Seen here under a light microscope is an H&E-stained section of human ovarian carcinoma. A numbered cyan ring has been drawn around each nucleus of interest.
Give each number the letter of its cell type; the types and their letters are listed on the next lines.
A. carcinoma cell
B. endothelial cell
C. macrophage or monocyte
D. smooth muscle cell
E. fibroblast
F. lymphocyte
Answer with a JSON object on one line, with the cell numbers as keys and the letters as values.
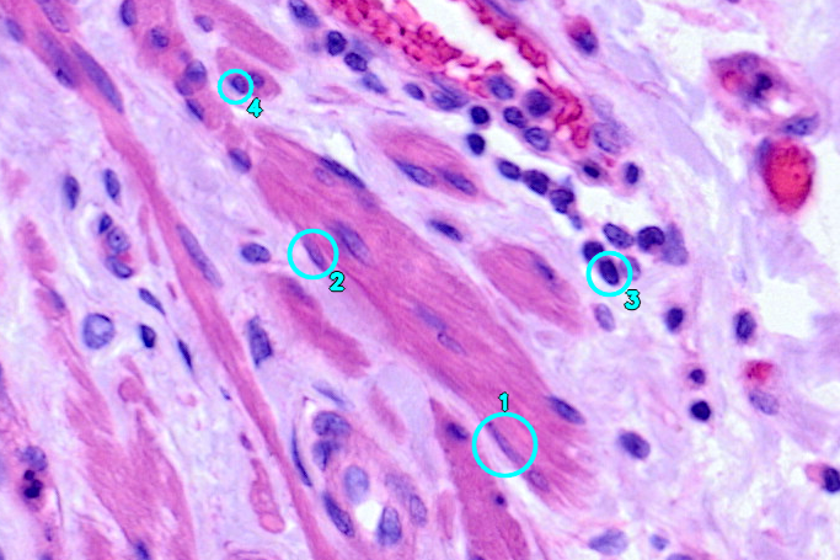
{"1": "D", "2": "D", "3": "F", "4": "D"}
